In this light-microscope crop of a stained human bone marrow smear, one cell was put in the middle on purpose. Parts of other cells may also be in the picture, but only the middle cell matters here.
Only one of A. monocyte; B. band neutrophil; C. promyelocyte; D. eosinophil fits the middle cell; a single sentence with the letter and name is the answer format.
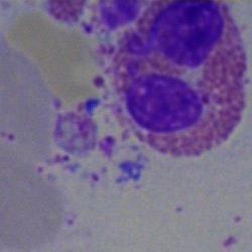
In the centre of the crop there is an eosinophil, making option D correct.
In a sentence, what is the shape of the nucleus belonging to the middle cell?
Rather than a single mass, the nucleus forms two or more lobes.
